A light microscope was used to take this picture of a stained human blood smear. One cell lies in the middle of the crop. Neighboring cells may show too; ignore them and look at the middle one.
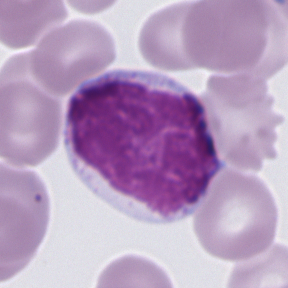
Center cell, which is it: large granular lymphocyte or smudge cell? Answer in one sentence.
In the centre of this crop there is a large granular lymphocyte.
